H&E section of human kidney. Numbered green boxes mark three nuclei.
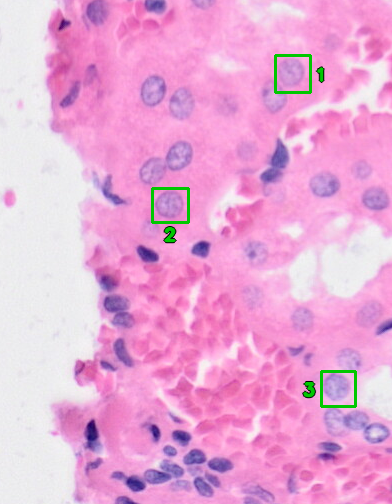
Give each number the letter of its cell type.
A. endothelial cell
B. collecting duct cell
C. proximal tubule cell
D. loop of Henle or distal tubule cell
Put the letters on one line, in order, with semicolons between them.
C; C; B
